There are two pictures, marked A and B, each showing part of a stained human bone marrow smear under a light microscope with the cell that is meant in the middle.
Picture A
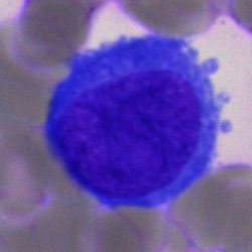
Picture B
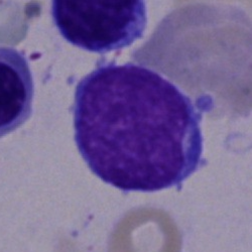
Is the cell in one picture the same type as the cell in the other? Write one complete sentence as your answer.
Yes; the cells in both pictures are blasts.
